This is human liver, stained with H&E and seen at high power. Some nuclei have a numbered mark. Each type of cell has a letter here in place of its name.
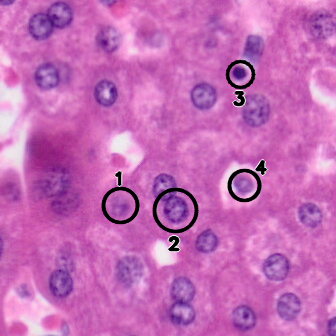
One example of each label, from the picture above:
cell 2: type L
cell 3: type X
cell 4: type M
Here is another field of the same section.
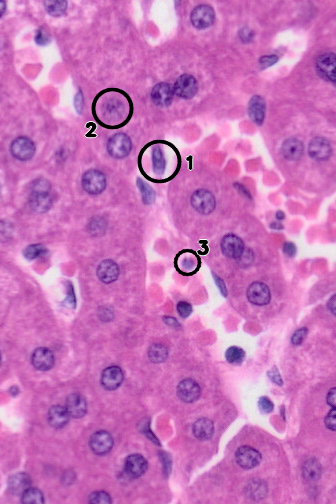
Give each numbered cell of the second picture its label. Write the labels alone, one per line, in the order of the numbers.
type M
type L
type X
